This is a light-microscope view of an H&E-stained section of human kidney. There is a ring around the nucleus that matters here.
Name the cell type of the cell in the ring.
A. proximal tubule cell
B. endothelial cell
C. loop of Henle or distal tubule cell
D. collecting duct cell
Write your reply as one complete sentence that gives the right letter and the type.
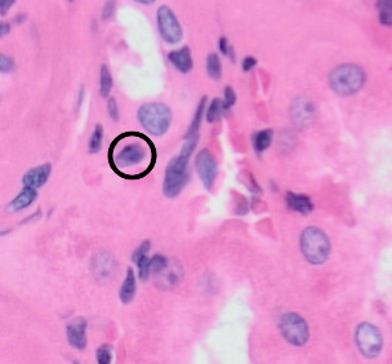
Option B gives the correct identity of the cell in the ring, which is an endothelial cell.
